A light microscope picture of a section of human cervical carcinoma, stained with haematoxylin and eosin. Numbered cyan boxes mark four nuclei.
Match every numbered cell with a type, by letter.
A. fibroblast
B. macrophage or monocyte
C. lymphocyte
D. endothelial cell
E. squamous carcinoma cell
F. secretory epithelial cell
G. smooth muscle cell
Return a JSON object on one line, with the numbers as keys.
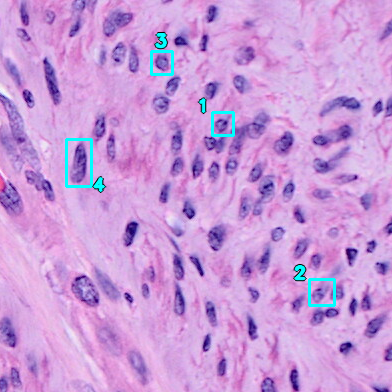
{"1": "G", "2": "G", "3": "G", "4": "A"}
